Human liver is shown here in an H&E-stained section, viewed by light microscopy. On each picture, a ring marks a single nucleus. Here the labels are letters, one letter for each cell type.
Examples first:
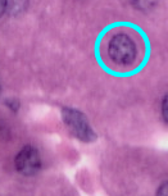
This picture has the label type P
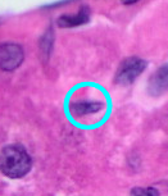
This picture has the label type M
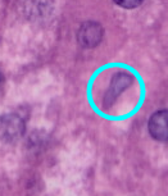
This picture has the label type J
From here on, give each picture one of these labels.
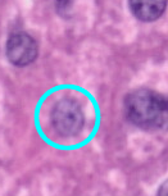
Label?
type P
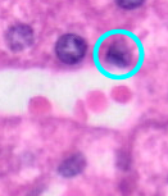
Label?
type M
